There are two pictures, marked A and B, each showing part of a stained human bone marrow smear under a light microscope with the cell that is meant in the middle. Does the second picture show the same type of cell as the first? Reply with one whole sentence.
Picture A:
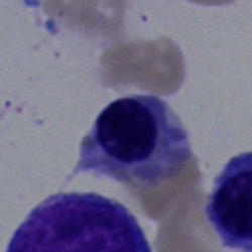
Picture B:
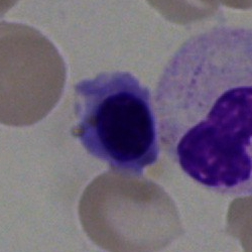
Yes, both are erythroblasts.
